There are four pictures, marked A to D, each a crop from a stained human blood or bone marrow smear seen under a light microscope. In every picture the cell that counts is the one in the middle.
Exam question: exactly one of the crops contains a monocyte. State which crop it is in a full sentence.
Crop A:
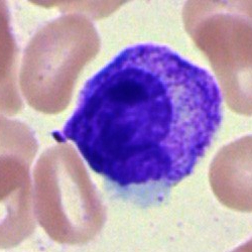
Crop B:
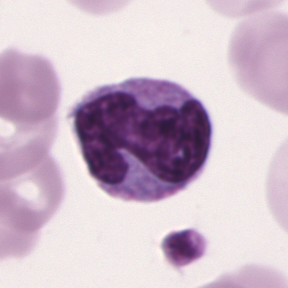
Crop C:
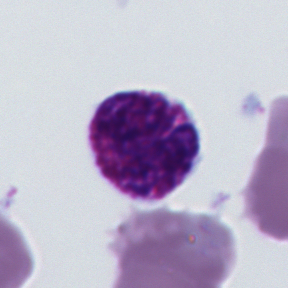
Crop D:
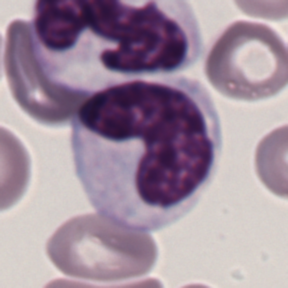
Crop B is the crop whose central cell is a monocyte.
